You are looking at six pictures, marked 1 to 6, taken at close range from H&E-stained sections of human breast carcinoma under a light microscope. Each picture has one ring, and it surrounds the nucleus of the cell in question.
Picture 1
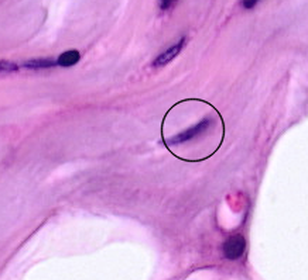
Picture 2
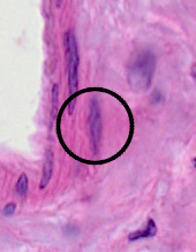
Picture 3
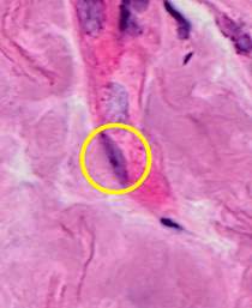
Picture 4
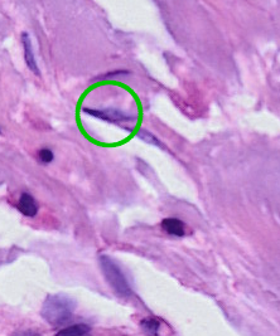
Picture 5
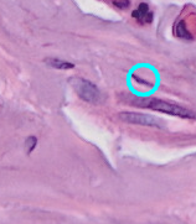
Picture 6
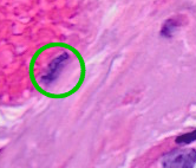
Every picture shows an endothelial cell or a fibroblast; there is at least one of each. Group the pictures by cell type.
1: fibroblast
2: endothelial cell
3: endothelial cell
4: fibroblast
5: fibroblast
6: endothelial cell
